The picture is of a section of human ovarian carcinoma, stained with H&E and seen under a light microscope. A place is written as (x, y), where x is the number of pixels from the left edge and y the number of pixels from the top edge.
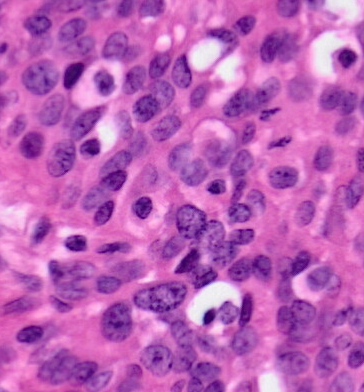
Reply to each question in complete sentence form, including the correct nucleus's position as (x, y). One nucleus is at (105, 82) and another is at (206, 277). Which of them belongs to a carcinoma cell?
Of the two options, the nucleus at (206, 277) is the one that belongs to a carcinoma cell.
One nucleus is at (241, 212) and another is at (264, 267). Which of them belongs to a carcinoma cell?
The cell to which the nucleus at (264, 267) belongs is a carcinoma cell.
